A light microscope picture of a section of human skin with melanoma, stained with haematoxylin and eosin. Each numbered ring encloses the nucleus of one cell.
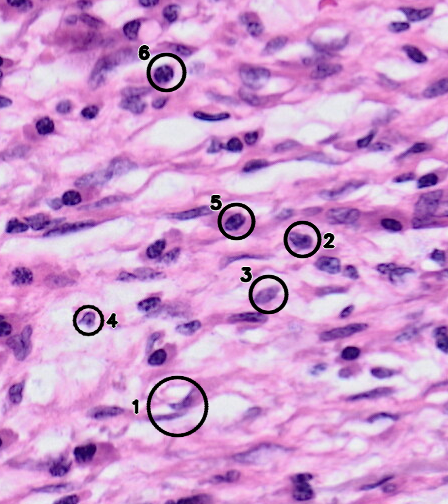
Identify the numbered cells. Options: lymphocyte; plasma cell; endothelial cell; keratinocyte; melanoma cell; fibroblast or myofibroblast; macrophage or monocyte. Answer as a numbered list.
1. fibroblast or myofibroblast
2. lymphocyte
3. fibroblast or myofibroblast
4. lymphocyte
5. plasma cell
6. plasma cell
